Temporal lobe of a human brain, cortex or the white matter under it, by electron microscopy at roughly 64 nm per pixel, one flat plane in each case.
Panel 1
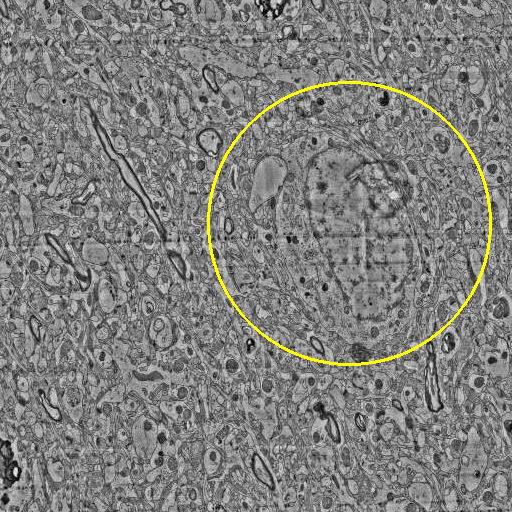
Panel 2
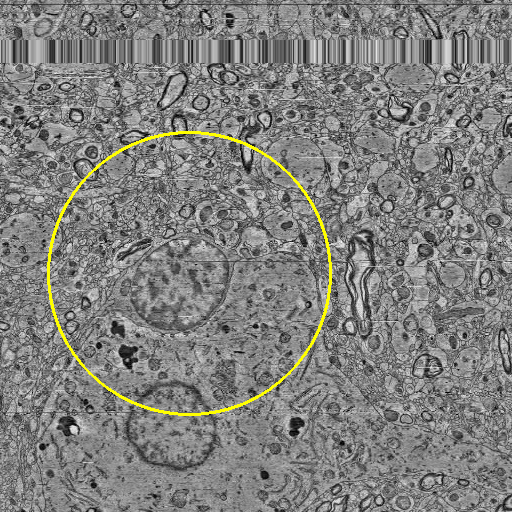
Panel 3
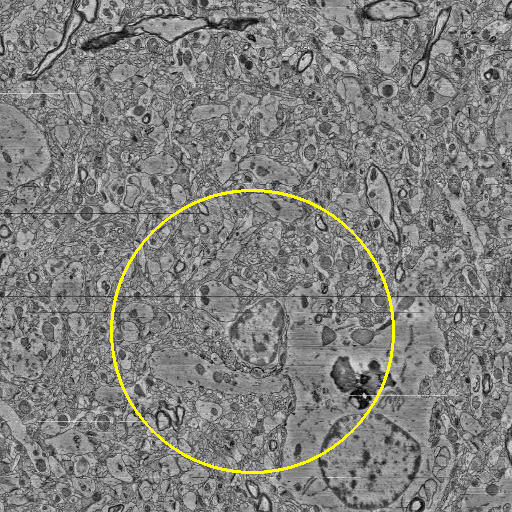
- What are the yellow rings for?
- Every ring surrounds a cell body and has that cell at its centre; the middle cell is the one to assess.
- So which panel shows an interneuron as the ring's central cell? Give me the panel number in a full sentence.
The panel whose ring is centred on the cell in question is panel 1.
